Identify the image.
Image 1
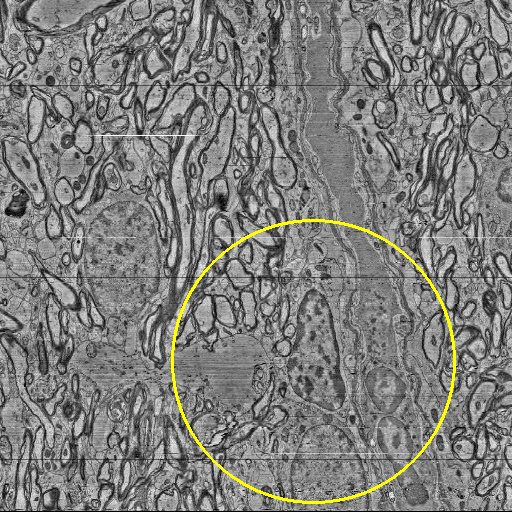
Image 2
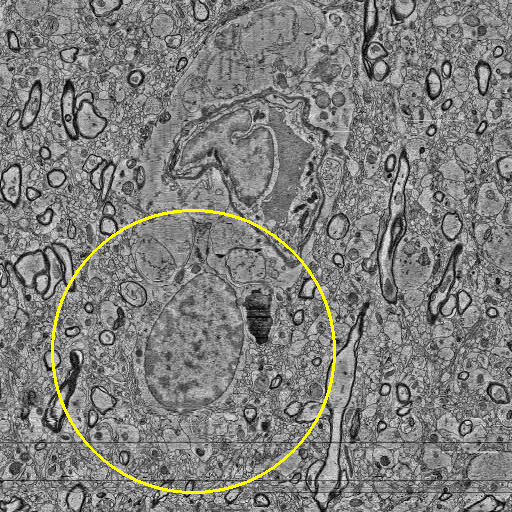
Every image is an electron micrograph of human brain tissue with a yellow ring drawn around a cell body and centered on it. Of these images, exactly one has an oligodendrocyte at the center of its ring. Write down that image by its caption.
Image 2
